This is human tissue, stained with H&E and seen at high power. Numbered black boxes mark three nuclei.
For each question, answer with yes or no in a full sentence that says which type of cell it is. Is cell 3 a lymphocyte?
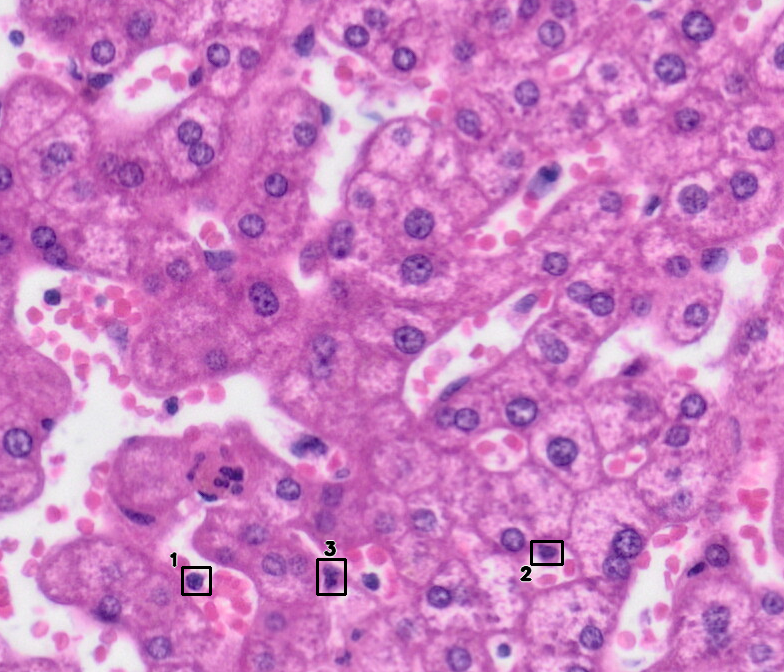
No, the nucleus numbered 3 belongs to a Kupffer cell, not a lymphocyte.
